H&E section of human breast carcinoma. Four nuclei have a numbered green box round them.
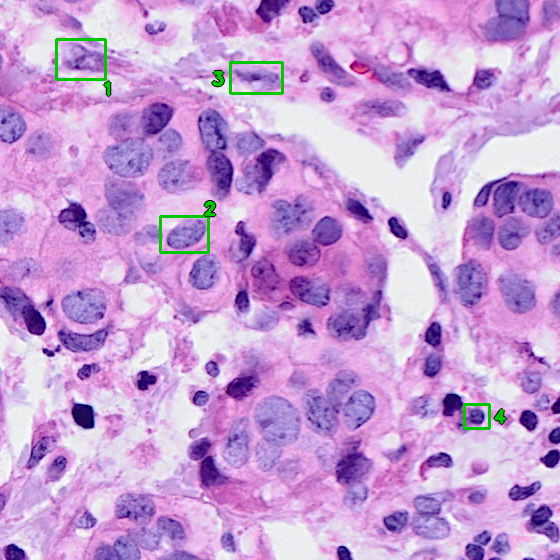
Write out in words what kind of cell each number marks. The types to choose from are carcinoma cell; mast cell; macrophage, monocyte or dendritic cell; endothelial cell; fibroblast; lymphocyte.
Cells 1 and 3 are fibroblasts. Cell 2 is a carcinoma cell. Cell 4 is a lymphocyte.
